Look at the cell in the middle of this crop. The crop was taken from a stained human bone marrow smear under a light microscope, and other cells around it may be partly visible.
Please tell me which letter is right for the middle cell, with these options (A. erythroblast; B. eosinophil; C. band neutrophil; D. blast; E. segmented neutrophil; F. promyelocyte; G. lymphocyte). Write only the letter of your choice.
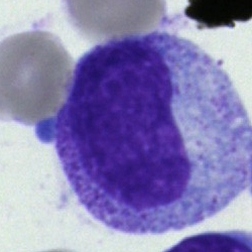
F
